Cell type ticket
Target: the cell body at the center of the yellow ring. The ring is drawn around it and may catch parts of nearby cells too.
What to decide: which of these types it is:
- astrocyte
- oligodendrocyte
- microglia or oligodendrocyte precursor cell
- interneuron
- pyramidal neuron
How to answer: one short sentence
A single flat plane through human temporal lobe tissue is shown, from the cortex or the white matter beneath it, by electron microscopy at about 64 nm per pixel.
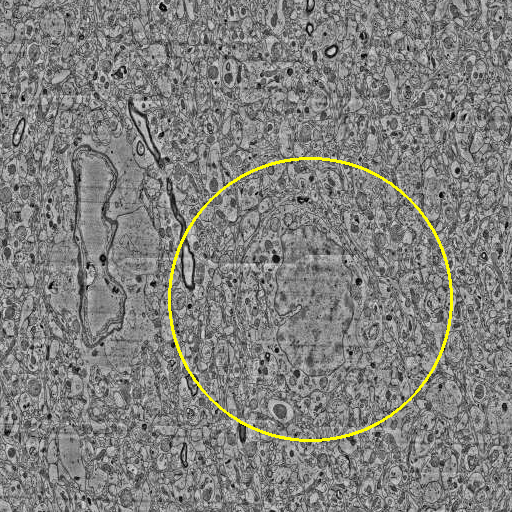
The cell at the center of the ring is an interneuron.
